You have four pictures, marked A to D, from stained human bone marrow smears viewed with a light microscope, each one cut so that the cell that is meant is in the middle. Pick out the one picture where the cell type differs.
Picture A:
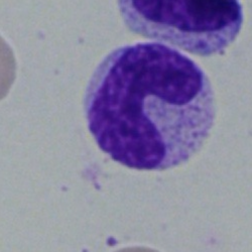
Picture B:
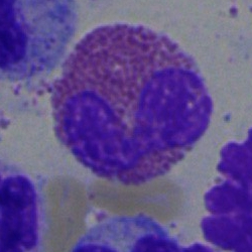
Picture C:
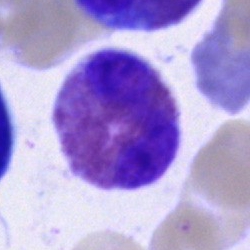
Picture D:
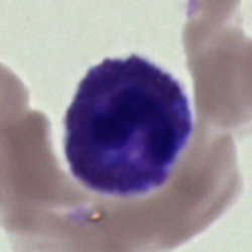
A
